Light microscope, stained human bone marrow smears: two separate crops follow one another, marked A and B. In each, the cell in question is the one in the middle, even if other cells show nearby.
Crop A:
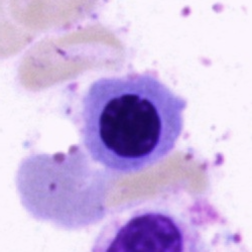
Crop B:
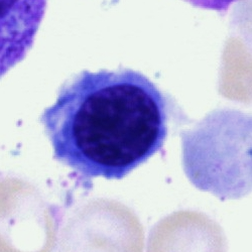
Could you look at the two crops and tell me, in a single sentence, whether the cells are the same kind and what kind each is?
Yes, both crops are centred on erythroblasts.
